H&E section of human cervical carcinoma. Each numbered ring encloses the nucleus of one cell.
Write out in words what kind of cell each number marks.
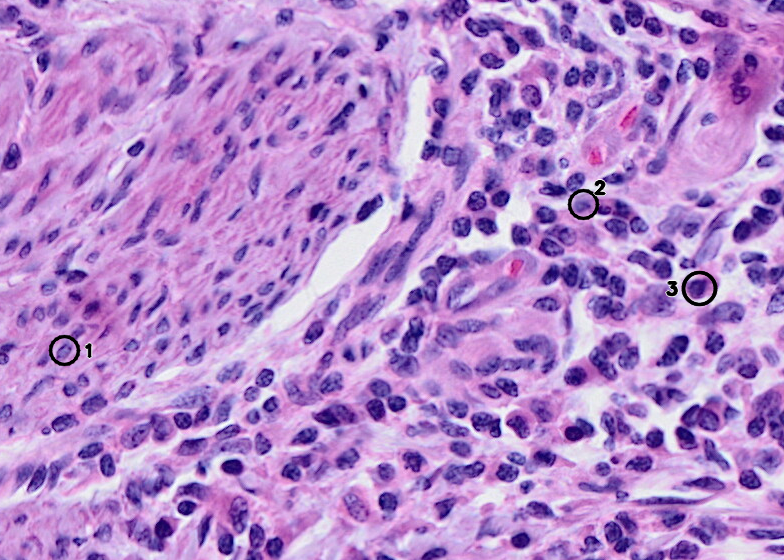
Cell 1 is a smooth muscle cell. Cells 2 and 3 are lymphocytes.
